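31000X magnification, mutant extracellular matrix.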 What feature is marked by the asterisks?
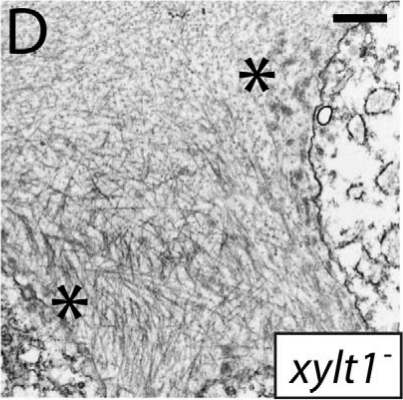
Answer: Amorphous electron-dense structures.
